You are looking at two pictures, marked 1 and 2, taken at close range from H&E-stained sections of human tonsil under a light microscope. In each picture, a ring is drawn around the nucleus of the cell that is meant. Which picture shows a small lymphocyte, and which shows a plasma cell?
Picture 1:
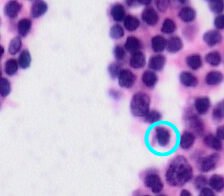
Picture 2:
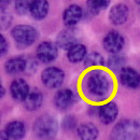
1: small lymphocyte
2: plasma cell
